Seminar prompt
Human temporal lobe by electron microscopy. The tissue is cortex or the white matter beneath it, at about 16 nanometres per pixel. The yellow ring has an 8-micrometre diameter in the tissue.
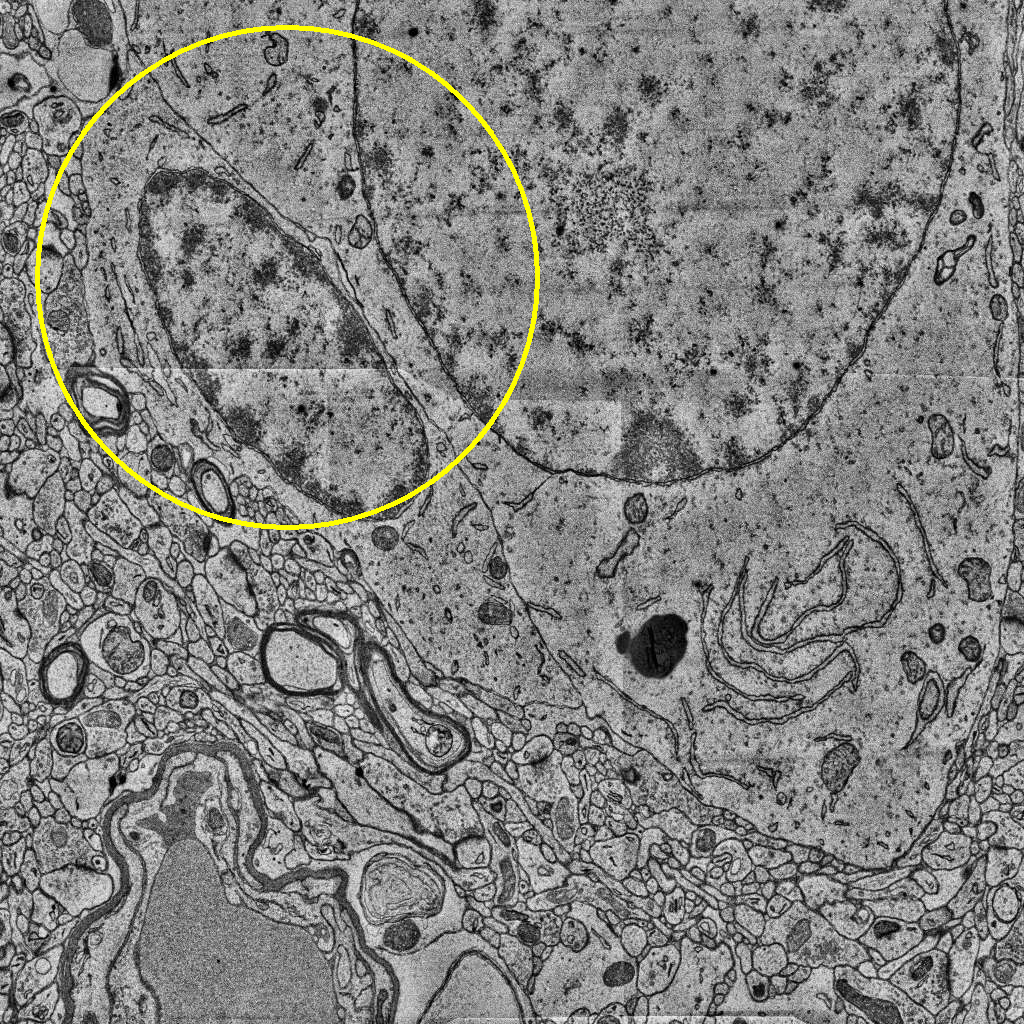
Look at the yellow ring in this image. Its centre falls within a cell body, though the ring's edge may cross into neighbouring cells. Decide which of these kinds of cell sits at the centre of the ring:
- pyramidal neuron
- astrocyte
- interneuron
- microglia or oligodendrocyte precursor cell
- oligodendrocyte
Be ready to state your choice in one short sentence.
The kind of cell at the ring's centre is a microglial cell or oligodendrocyte precursor cell.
